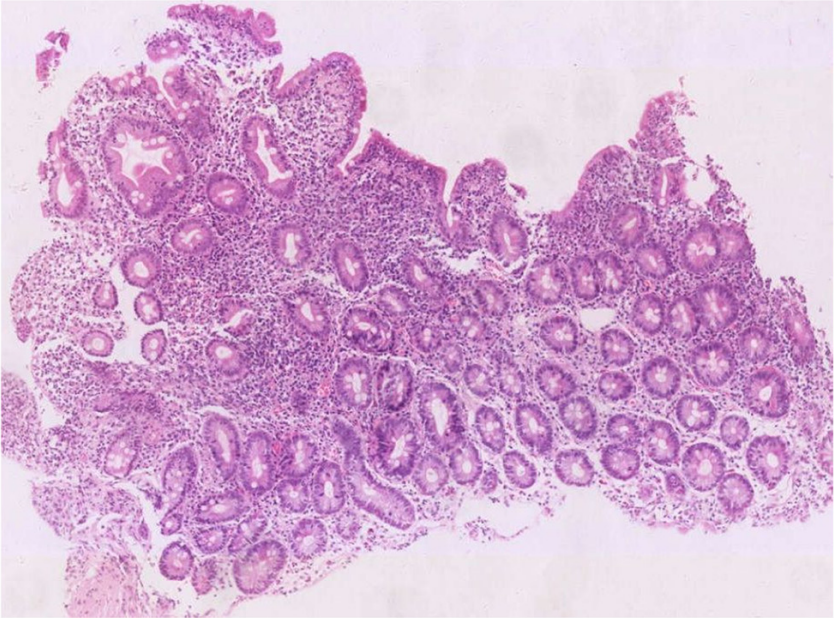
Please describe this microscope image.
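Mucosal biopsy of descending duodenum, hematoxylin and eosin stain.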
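The surface is almost flat, with only short, broad projections in place of tall villi. Numerous round glands, many cut in cross-section, are set in a lamina propria that is crowded with small dark-staining inflammatory cells. The infiltrate is densest near the surface and spreads between the glands.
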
